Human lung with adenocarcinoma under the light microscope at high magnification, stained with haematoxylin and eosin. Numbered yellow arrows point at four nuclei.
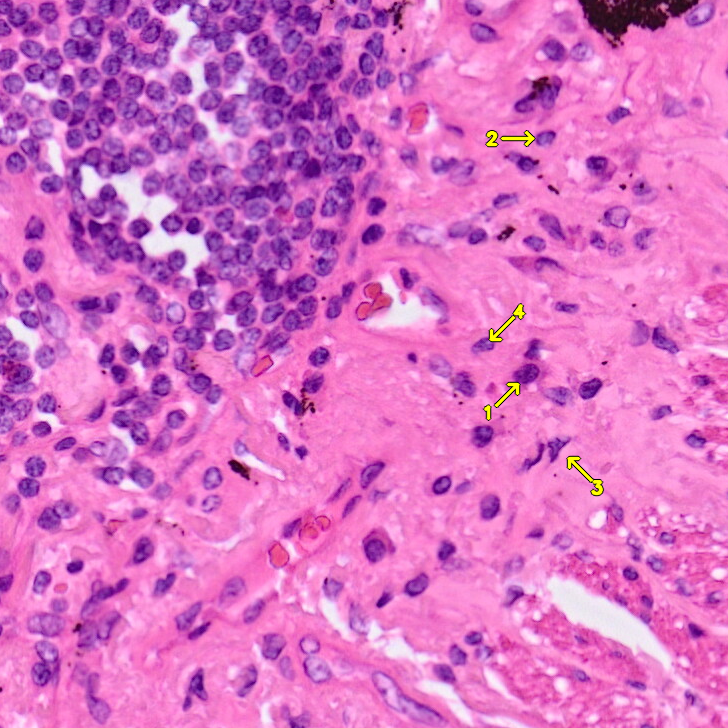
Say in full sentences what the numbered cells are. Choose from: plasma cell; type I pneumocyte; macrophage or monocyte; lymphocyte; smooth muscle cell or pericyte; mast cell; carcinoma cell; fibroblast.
Cell 1 is a plasma cell, cell 2 is a mast cell, cell 3 is a fibroblast and cell 4 is a mast cell.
